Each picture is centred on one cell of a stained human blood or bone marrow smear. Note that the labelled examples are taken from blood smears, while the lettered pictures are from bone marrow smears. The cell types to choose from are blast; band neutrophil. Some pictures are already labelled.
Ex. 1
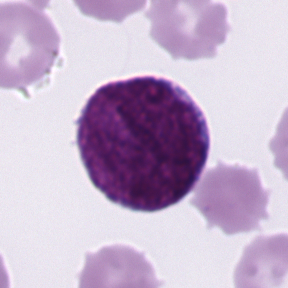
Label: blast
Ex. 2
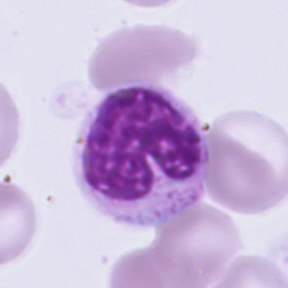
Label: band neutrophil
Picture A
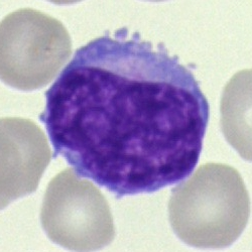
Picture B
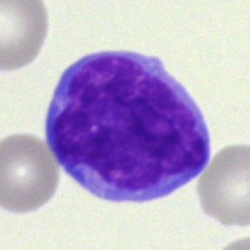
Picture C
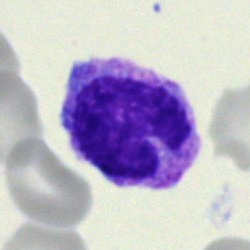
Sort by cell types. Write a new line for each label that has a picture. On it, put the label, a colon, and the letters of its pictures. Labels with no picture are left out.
blast: A, B
band neutrophil: C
